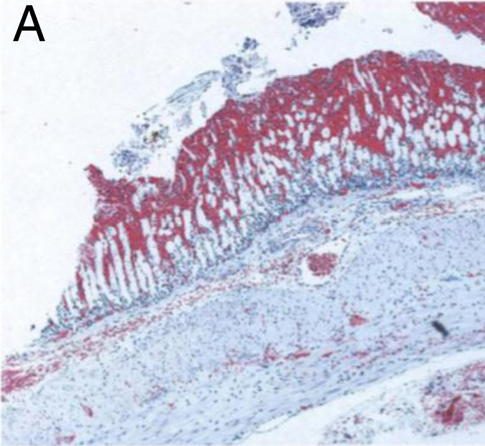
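This is intestinal wall whose mucosa is severely damaged. Instead of villi, the surface is a thick band of intensely red, largely structureless material broken into irregular columns and clefts, with only scattered remnants of blue nuclei at its lower edge; fragments of debris float above it. Beneath it, the deeper wall is pale, loose and widened, with spaced-out cells and small dark nuclei. Patches and streaks of red, including vessels and extravasated blood, are scattered through this deeper tissue. The orderly arrangement of villi and crypts seen in healthy intestine is absent.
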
